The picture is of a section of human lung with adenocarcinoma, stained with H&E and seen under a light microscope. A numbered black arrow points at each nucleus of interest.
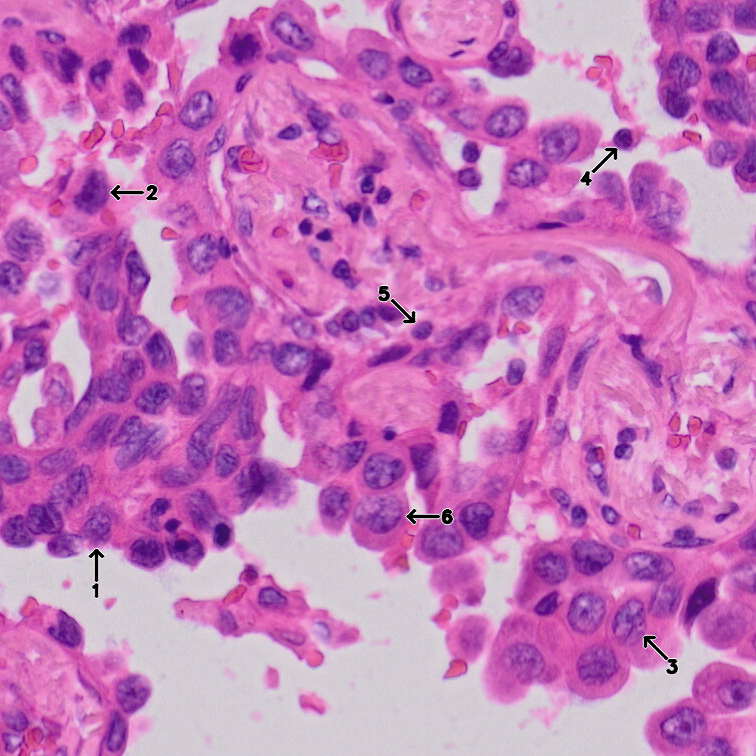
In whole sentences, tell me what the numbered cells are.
Cell 1 is a carcinoma cell, cell 2 is a carcinoma cell, cell 3 is a carcinoma cell, cell 4 is a lymphocyte, cell 5 is a lymphocyte and cell 6 is a carcinoma cell.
